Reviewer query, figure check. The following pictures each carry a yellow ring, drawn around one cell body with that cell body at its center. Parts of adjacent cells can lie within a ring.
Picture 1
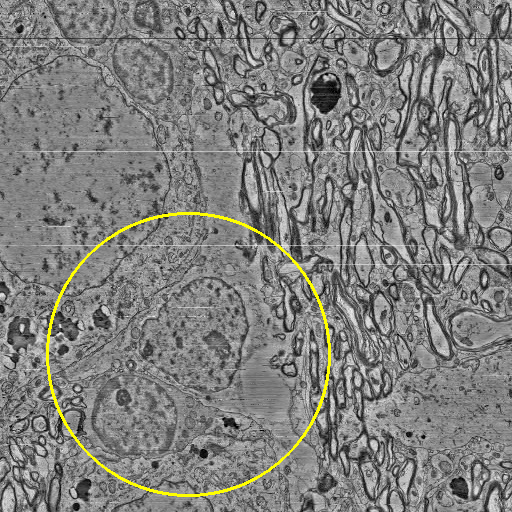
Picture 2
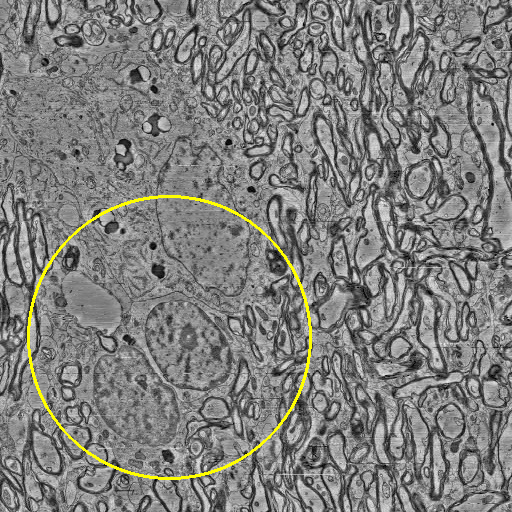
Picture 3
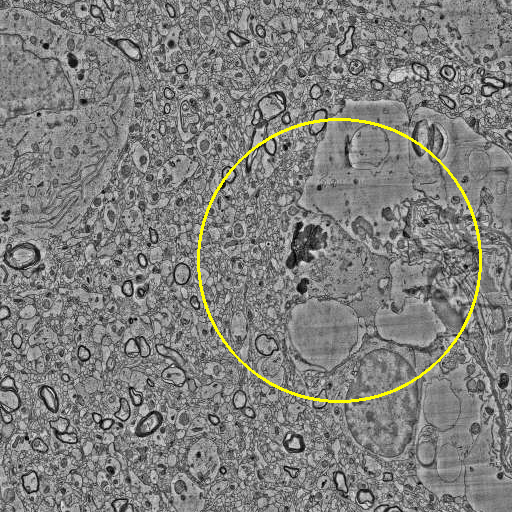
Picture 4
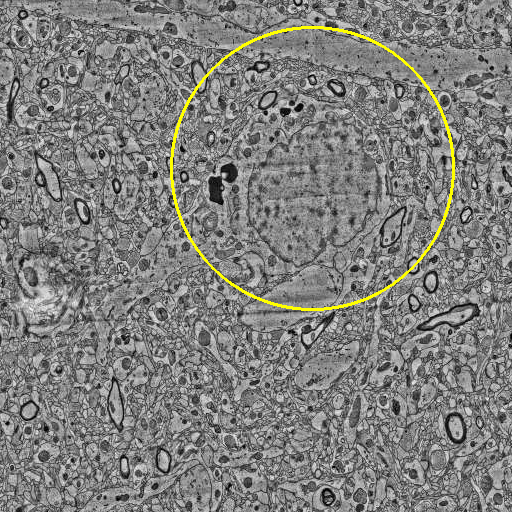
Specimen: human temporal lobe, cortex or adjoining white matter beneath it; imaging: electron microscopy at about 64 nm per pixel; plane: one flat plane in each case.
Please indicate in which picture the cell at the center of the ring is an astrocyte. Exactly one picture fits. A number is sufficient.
1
